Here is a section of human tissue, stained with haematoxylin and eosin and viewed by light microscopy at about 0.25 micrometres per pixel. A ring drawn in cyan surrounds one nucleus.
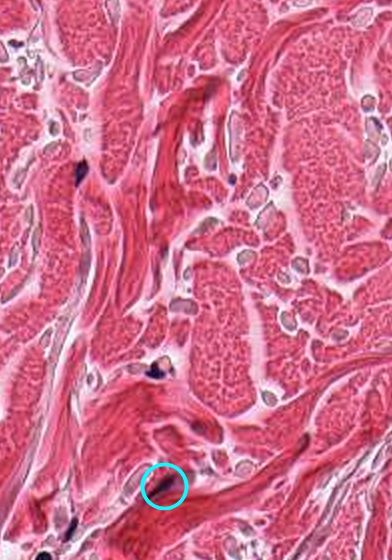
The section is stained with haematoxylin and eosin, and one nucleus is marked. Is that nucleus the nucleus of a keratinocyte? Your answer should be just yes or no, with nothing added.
no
